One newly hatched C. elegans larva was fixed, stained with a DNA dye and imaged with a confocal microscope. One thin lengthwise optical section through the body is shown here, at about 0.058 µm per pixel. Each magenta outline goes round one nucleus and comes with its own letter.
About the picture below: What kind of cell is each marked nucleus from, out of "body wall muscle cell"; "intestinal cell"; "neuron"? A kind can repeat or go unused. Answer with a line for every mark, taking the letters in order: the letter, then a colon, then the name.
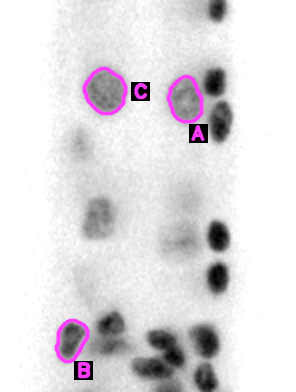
A: intestinal cell
B: body wall muscle cell
C: intestinal cell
